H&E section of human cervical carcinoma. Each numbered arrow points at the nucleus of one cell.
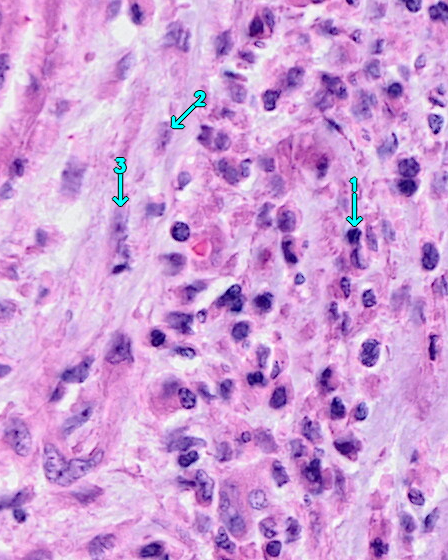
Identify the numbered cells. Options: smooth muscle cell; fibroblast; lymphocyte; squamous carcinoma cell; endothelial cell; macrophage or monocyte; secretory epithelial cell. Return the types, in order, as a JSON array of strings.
["lymphocyte", "fibroblast", "fibroblast"]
